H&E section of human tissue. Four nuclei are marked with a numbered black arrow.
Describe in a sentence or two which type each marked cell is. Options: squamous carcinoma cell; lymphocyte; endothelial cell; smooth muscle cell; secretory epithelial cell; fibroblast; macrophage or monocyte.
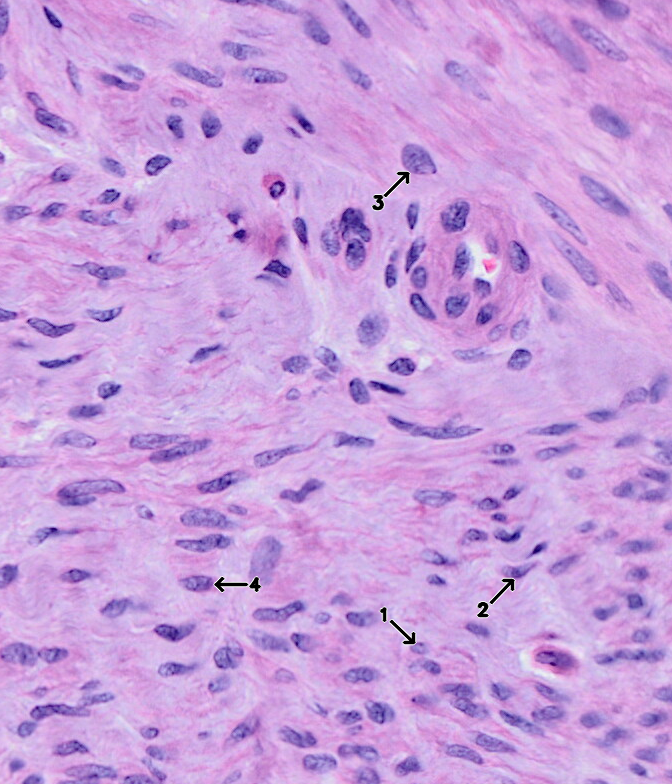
Cell 1 is a smooth muscle cell, cell 2 is a smooth muscle cell, cell 3 is a fibroblast and cell 4 is a smooth muscle cell.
